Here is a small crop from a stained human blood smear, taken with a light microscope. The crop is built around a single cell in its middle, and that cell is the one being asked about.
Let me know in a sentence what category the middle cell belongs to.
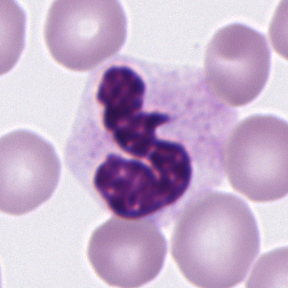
The cell at the central position in this crop is a segmented neutrophil.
